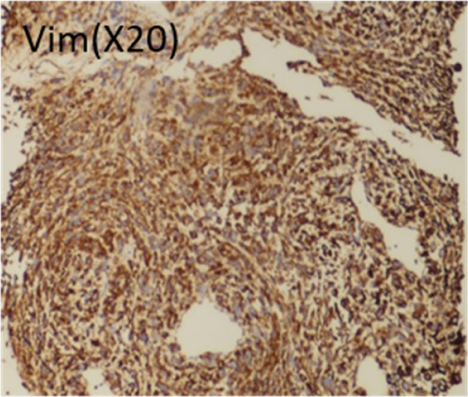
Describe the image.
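Densely cellular tumor tissue is seen in which nearly every elongated cell is stained strong brown in its cytoplasm, with bluish nuclei showing through. The cells are arranged in streaming cords and bundles that sweep around several clear slit-like spaces.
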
